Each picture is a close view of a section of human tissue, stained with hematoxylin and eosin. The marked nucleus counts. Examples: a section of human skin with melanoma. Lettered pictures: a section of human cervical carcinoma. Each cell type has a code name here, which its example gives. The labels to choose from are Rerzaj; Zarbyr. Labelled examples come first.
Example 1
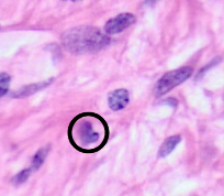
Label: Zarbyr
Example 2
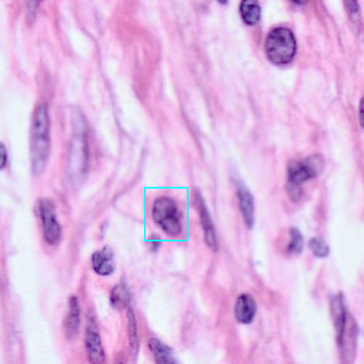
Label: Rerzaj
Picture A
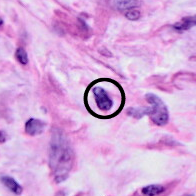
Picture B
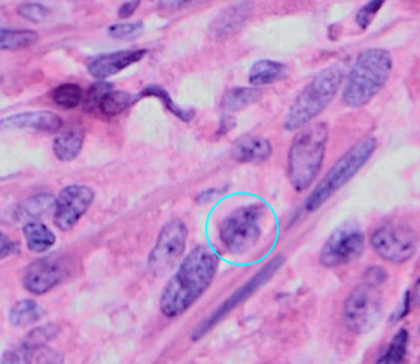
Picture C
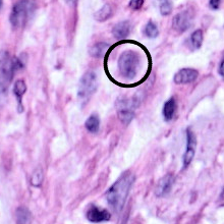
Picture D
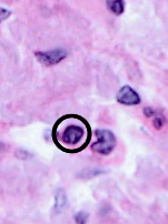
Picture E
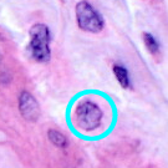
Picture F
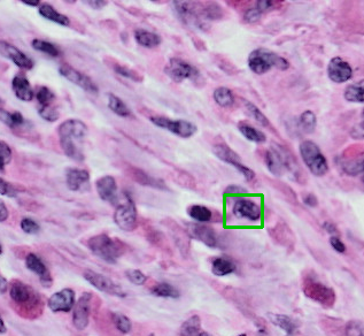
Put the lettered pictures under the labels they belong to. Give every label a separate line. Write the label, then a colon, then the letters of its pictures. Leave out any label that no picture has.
Rerzaj: B, C, E
Zarbyr: A, D, F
